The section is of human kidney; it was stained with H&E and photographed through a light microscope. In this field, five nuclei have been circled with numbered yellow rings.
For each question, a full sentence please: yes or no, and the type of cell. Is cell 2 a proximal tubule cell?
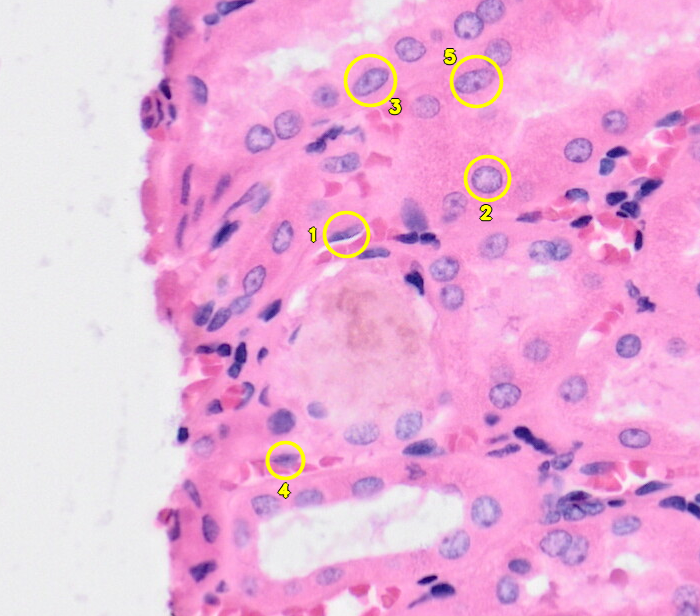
Yes, the cell sitting at number 2 is a proximal tubule cell.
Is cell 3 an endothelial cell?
No, cell 3 counts as a proximal tubule cell rather than as an endothelial cell.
